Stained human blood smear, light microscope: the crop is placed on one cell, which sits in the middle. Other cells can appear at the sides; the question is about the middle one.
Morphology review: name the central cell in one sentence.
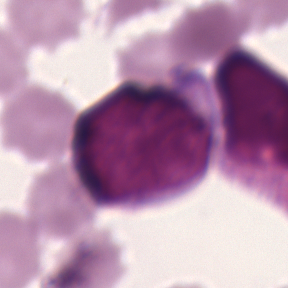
The cell centered in this field of view is a blast.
